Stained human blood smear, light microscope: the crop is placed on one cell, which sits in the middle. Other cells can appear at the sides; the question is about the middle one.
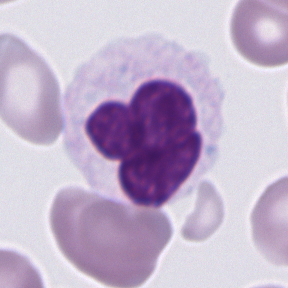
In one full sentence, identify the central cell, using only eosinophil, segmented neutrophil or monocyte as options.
The cell shown in the center of this light-microscope crop is a segmented neutrophil.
